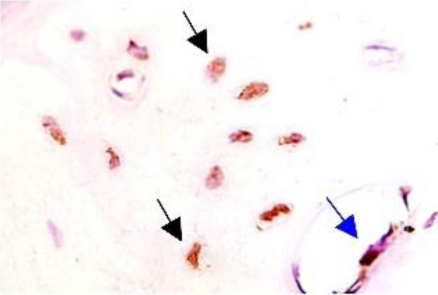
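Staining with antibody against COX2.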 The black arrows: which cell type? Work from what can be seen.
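Osteocytes. The marked cells lie singly inside the pale mineralised matrix, away from any surface. Each marked cell sits in a small space in the matrix and is stained brown.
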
